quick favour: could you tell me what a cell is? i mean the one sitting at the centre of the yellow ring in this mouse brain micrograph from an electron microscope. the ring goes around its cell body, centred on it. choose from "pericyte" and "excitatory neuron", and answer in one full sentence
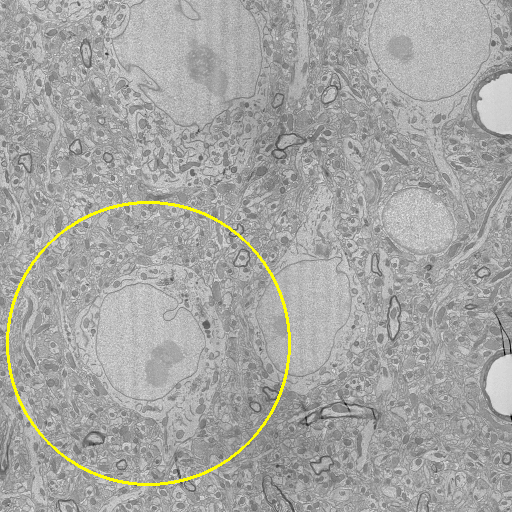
That's an excitatory neuron, the cell sitting at the centre of the yellow ring.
